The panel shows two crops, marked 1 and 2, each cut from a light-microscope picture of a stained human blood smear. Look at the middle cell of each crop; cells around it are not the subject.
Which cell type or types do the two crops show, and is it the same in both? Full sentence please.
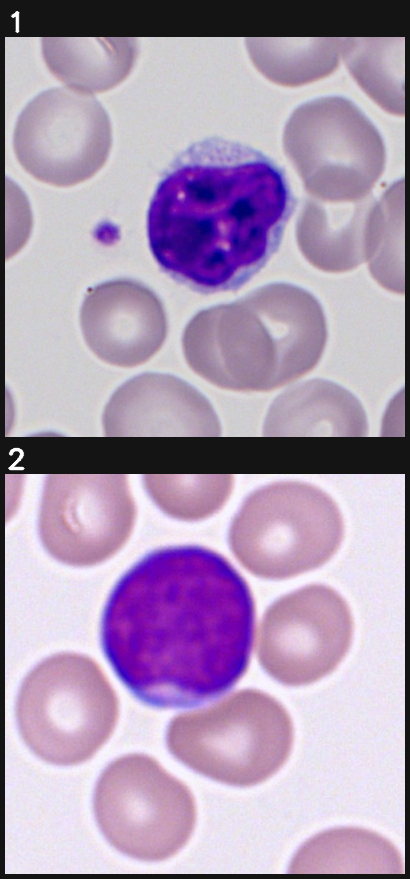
No, crop 1 features a lymphocyte, and crop 2 features a blast.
